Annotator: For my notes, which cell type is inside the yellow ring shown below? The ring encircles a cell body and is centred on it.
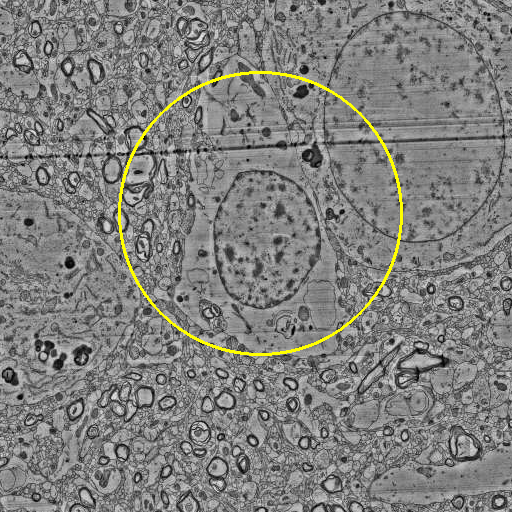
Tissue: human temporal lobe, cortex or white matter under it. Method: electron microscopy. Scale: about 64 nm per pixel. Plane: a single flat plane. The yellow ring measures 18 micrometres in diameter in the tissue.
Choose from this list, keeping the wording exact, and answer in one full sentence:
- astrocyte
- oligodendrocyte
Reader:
At the centre of the yellow ring there is an astrocyte, as shown in the picture.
